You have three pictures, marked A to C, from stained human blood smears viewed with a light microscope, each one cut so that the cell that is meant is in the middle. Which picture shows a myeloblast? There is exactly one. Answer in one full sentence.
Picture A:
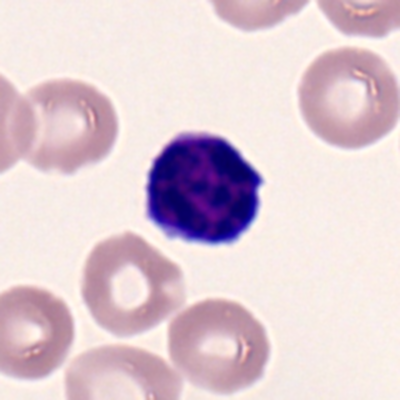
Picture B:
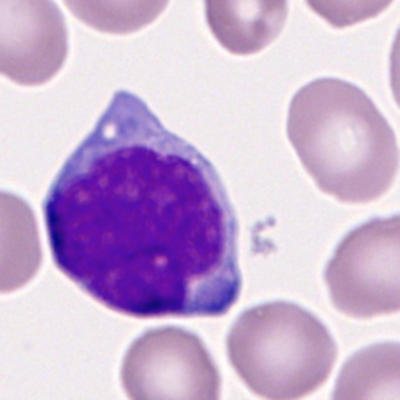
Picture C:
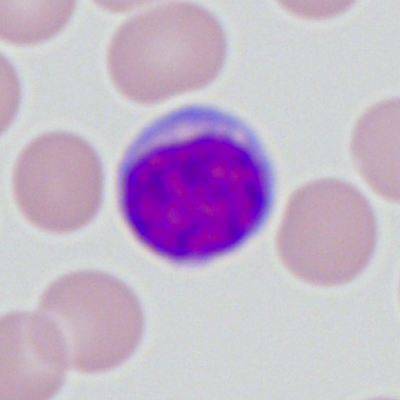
It is picture B that shows the myeloblast.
